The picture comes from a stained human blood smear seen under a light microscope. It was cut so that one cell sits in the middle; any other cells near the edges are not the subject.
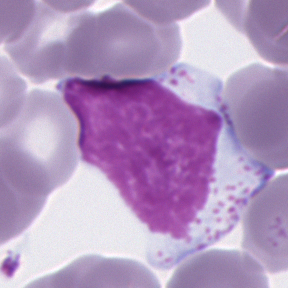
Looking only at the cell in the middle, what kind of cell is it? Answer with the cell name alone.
large granular lymphocyte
